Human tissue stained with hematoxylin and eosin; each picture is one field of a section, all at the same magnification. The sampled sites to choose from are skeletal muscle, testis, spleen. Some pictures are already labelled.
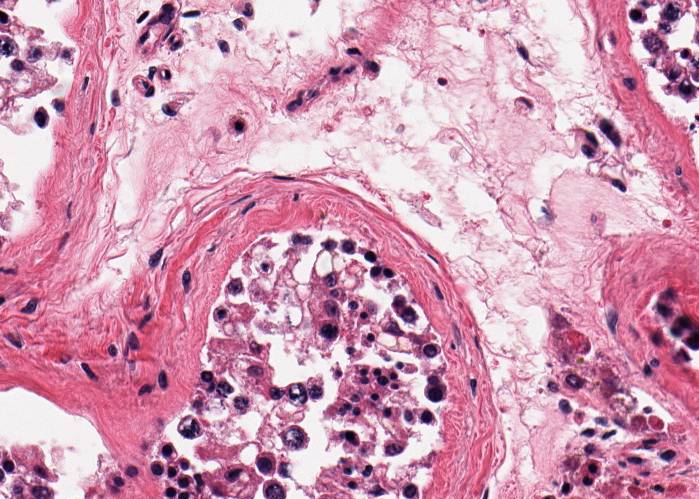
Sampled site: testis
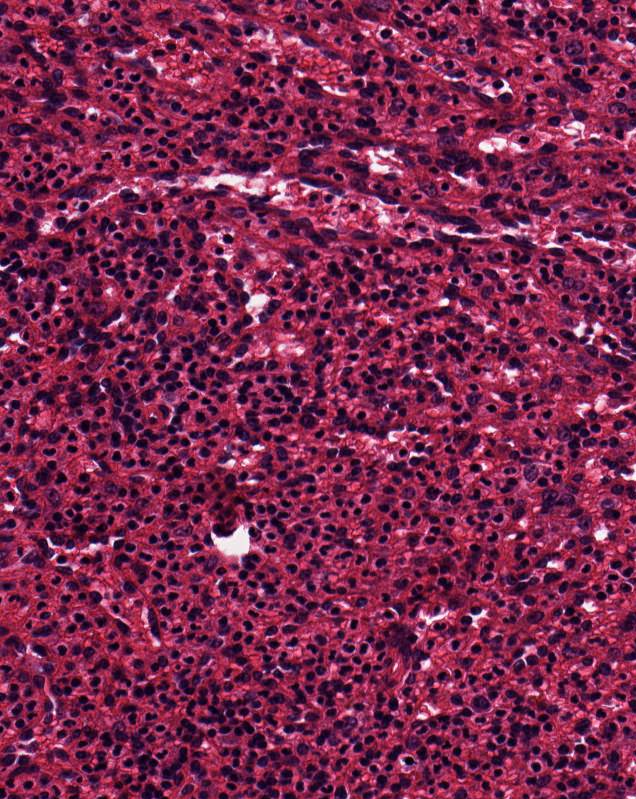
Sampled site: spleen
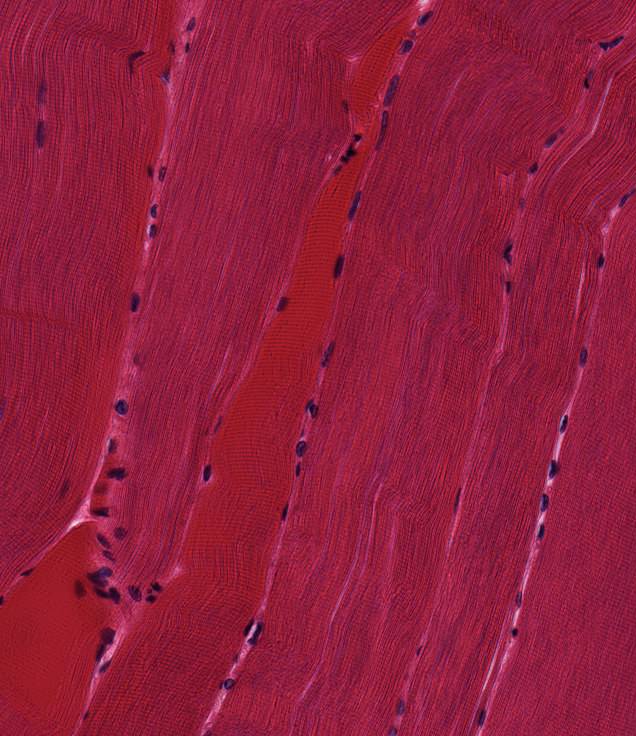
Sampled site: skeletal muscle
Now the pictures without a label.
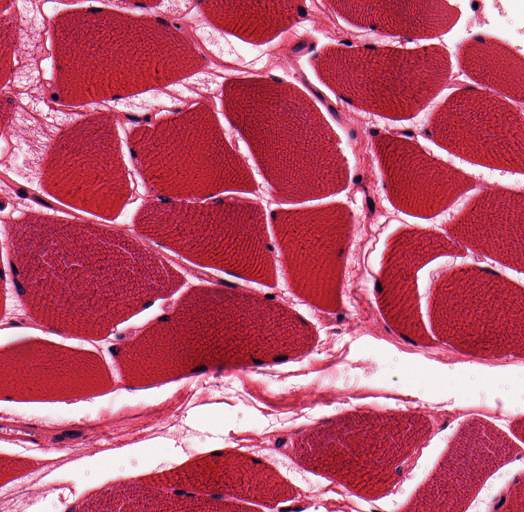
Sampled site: skeletal muscle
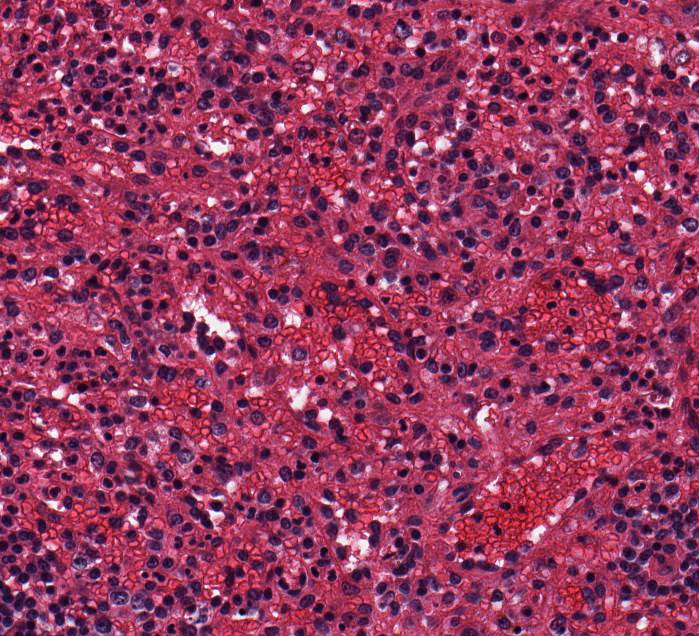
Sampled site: spleen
